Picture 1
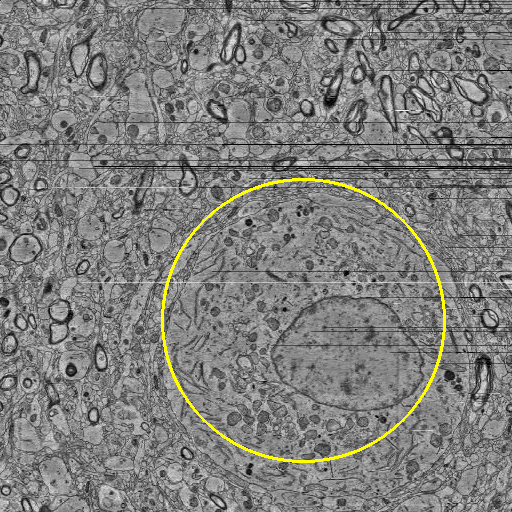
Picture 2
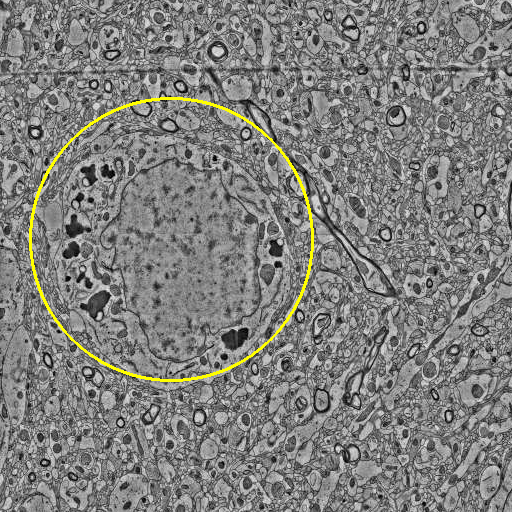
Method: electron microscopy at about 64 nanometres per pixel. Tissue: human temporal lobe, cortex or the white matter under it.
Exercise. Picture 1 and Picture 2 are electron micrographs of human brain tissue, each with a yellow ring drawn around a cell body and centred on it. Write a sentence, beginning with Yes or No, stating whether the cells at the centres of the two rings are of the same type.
Yes, the cells at the centres of both rings are of the same type.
